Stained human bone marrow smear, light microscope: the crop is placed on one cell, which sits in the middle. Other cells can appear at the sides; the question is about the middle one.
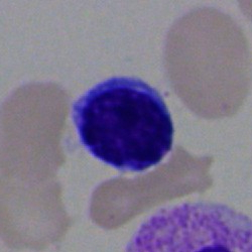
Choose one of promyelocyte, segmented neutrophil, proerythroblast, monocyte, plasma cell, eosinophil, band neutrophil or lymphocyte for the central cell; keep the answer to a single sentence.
The cell that lies at the centre of the crop is a lymphocyte.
